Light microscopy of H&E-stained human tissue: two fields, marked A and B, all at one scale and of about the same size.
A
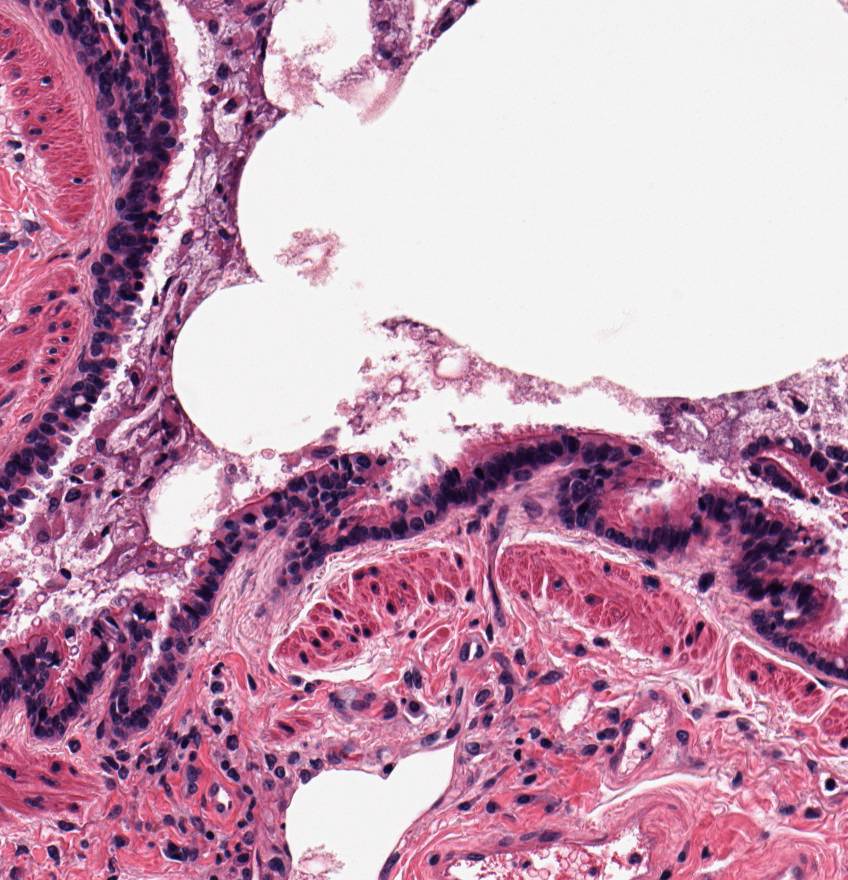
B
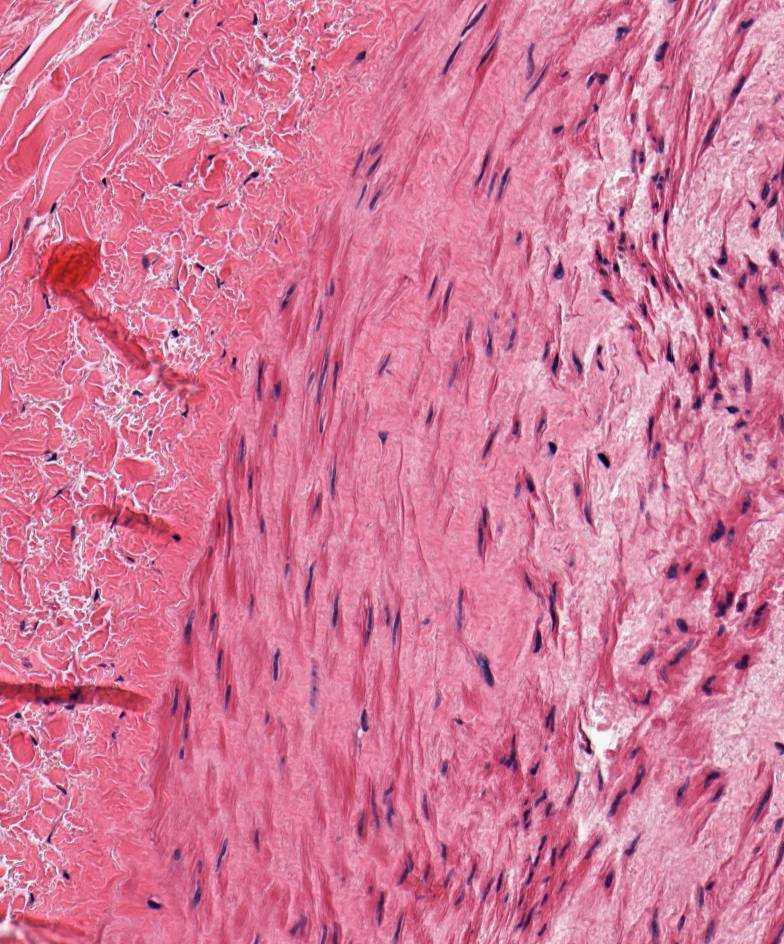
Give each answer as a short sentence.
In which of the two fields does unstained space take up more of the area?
Unstained space takes up more of field A than of field B.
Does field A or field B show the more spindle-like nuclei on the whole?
Longer, more slender nuclei lie in field B.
